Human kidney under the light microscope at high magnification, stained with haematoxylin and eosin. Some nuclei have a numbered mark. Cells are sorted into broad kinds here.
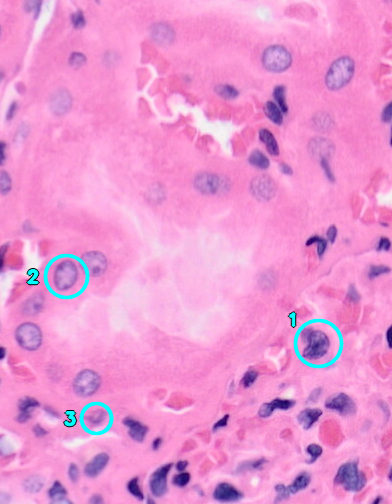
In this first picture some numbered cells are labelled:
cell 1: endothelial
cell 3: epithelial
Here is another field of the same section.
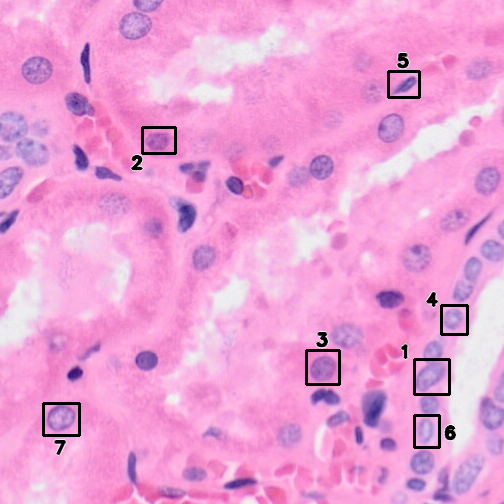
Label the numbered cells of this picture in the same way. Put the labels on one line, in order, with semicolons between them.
epithelial; epithelial; epithelial; epithelial; endothelial; epithelial; epithelial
